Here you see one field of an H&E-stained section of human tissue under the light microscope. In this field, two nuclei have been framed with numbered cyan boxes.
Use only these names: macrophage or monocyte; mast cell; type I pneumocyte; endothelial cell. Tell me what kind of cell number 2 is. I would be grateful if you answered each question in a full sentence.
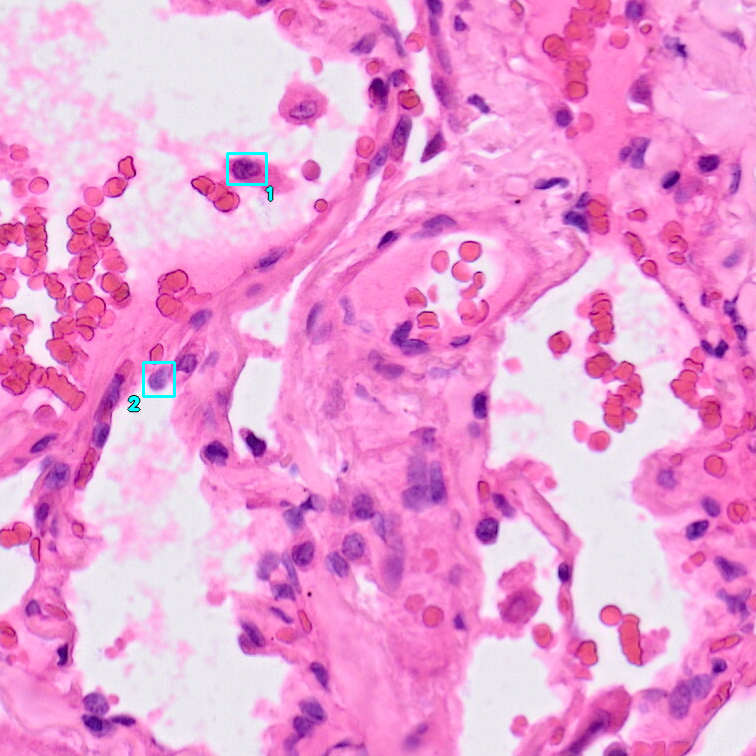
The cell bearing label 2 corresponds to a type I pneumocyte.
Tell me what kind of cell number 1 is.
The label 1 in this section denotes a macrophage or monocyte.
